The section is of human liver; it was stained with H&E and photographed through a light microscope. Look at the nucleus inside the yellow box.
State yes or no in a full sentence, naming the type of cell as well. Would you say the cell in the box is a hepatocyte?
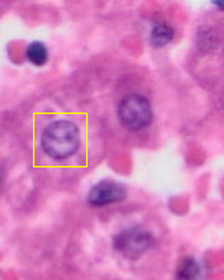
Yes, the cell in the box is, by type, a hepatocyte.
